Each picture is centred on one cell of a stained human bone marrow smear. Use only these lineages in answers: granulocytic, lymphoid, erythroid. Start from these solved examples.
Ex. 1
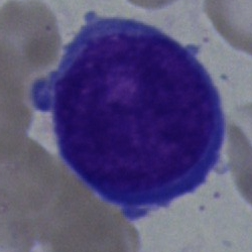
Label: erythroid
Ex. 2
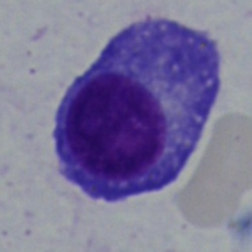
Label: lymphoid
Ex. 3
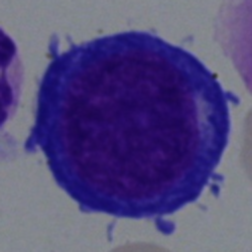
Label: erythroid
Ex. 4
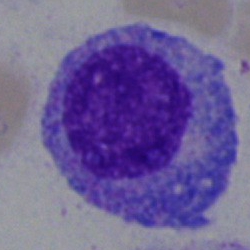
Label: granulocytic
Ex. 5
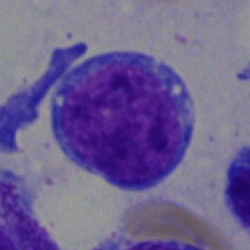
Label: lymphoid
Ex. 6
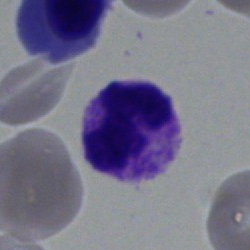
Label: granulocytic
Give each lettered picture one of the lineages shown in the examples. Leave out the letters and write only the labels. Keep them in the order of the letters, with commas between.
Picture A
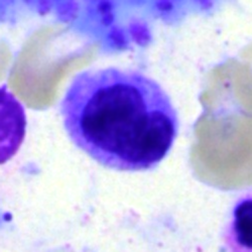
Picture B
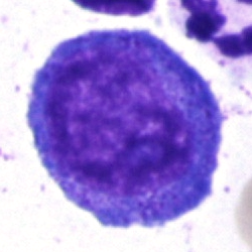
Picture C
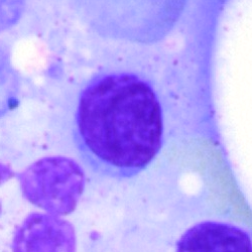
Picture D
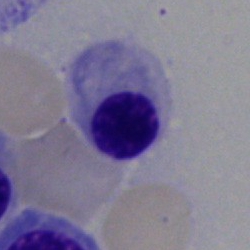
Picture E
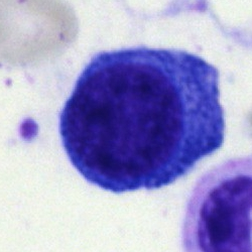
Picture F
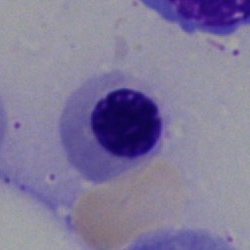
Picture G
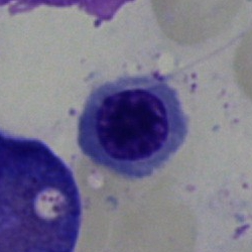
granulocytic, erythroid, lymphoid, erythroid, erythroid, erythroid, erythroid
